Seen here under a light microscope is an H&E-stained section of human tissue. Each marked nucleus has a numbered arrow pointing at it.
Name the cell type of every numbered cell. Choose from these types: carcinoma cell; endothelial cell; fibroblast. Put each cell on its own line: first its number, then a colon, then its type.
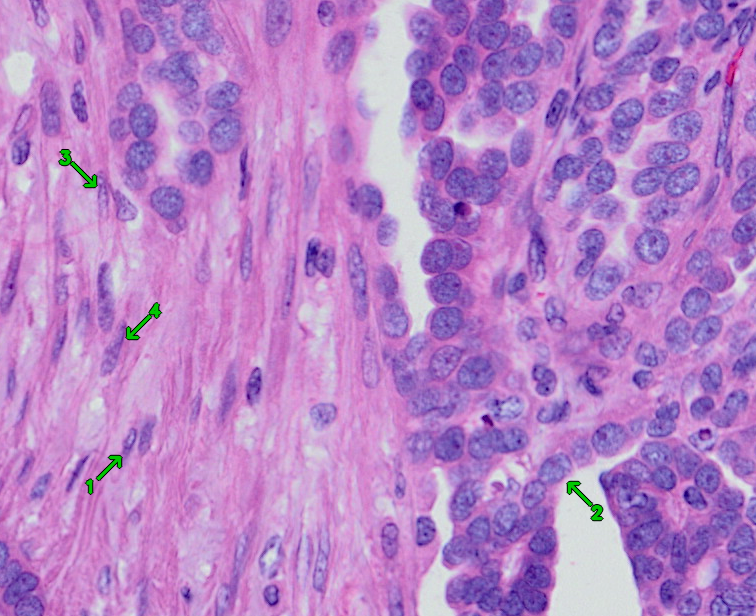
1: fibroblast
2: carcinoma cell
3: fibroblast
4: fibroblast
